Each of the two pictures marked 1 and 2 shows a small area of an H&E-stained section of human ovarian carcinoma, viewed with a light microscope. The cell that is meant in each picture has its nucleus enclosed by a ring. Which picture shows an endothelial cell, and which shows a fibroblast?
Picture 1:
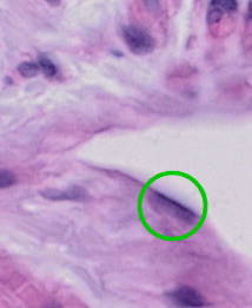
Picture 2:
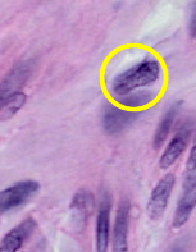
1: endothelial cell
2: fibroblast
